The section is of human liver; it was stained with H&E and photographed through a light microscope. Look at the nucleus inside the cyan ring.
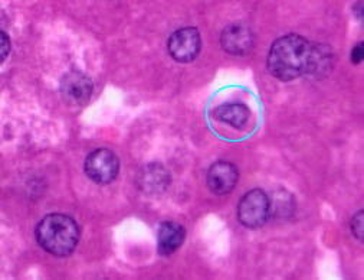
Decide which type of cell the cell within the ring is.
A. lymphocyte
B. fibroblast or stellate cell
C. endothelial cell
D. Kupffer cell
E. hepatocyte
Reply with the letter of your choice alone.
D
